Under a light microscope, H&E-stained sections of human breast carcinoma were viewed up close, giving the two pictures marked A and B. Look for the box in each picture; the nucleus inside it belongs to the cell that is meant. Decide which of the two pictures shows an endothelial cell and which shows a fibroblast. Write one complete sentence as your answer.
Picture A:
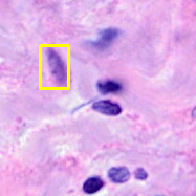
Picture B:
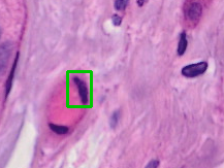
The cell in picture A is a fibroblast, and the one in picture B is an endothelial cell.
